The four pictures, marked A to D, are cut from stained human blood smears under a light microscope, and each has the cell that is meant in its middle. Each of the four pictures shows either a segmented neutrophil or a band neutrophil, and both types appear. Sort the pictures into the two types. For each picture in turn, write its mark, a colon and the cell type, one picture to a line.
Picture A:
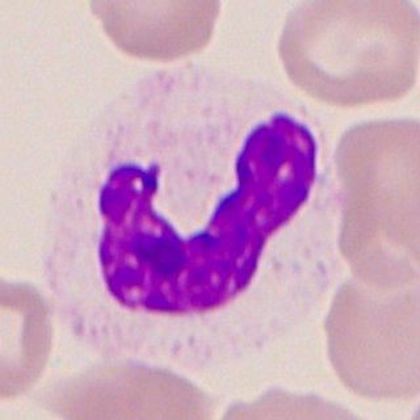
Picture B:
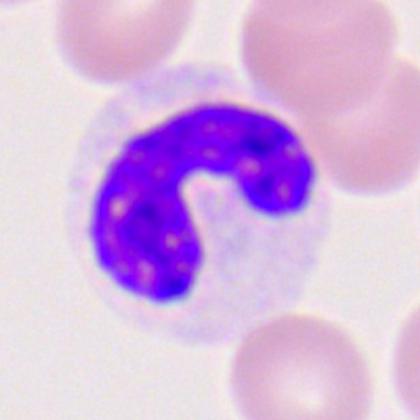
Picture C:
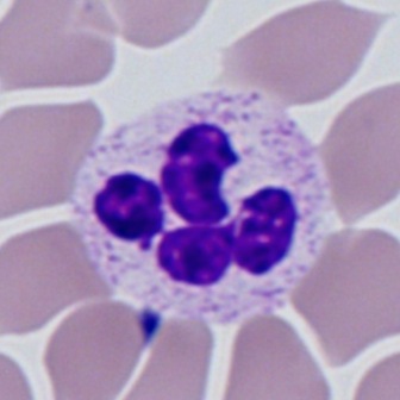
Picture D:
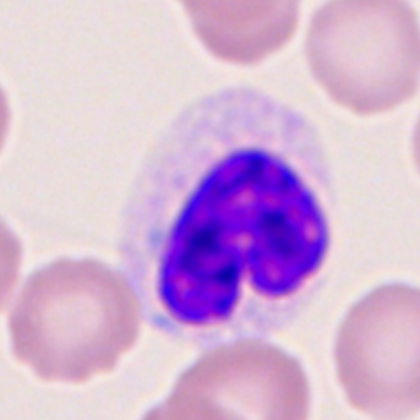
A: segmented neutrophil
B: band neutrophil
C: segmented neutrophil
D: band neutrophil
